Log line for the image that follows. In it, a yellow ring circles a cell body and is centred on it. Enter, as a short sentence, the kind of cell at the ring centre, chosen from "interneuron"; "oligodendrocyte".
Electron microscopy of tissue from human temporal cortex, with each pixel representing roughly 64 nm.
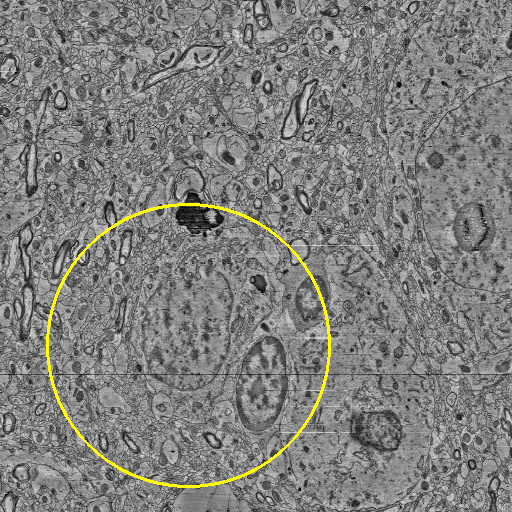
The ring centre is occupied by an interneuron.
